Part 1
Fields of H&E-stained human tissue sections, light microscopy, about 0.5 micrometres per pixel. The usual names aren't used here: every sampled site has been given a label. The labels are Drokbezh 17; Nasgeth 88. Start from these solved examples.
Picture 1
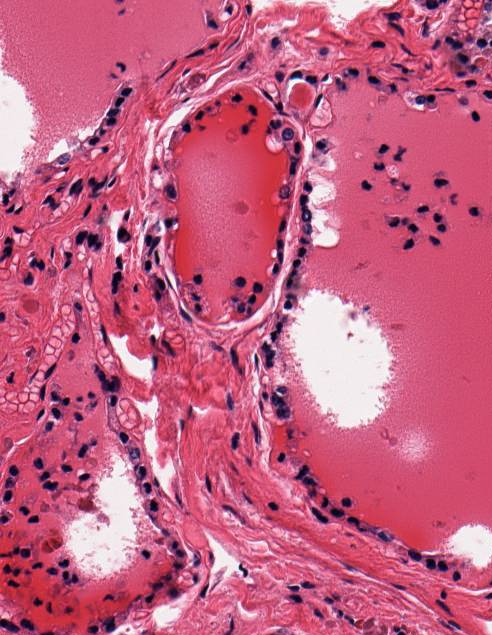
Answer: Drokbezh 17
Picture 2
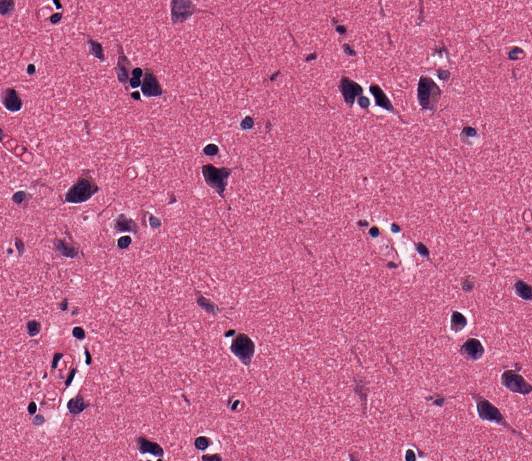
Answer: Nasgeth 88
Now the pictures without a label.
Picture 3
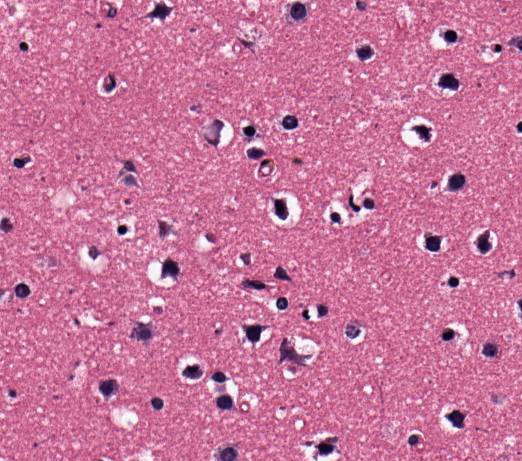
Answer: Nasgeth 88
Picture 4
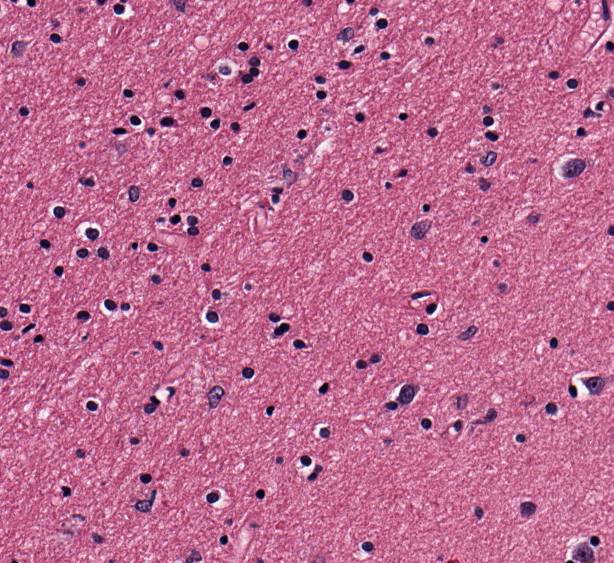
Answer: Nasgeth 88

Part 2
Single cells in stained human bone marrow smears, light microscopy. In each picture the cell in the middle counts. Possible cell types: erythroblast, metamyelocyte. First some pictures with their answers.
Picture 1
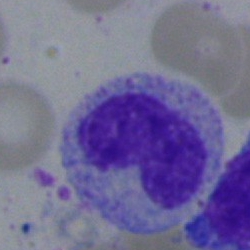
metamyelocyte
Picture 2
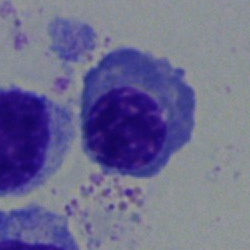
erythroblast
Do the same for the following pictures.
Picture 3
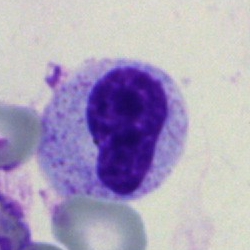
metamyelocyte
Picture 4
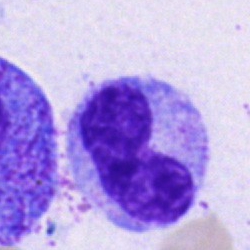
metamyelocyte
